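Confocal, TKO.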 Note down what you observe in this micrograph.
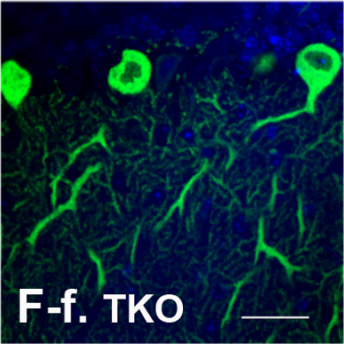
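This shows cerebellar Purkinje cells stained green, with only a few large flask-shaped cell bodies standing widely apart along the top. Unlike a normal continuous row, the cell bodies are separated by wide gaps where no green cell body is seen. Small blue nuclei are scattered through the layer.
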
